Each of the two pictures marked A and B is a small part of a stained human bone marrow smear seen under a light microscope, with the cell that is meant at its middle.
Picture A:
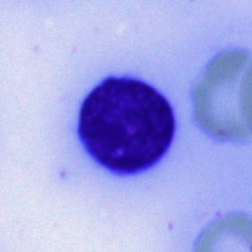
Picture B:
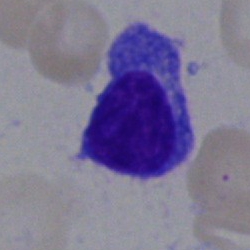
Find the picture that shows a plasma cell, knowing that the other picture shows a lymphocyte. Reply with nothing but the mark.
B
